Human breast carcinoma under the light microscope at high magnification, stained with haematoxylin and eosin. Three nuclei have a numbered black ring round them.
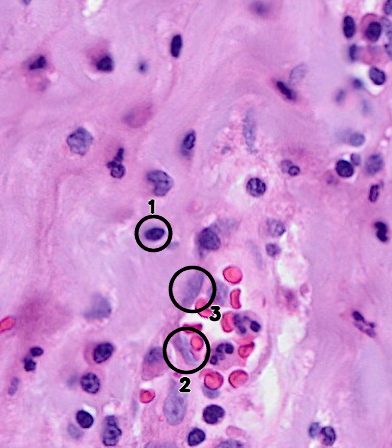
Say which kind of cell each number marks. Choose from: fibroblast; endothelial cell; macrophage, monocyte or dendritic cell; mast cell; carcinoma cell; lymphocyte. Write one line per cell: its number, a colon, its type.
1: lymphocyte
2: endothelial cell
3: endothelial cell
